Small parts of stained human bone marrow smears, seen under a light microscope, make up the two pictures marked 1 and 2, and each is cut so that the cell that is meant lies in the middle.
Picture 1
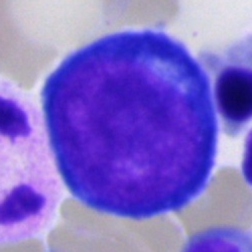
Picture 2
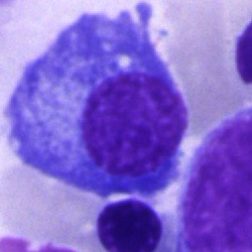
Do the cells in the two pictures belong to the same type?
no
